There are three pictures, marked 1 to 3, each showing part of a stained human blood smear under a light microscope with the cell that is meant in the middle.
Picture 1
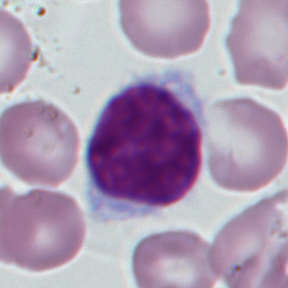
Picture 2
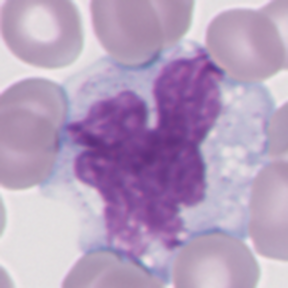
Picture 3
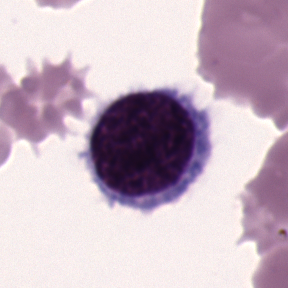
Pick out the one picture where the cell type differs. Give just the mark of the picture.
2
